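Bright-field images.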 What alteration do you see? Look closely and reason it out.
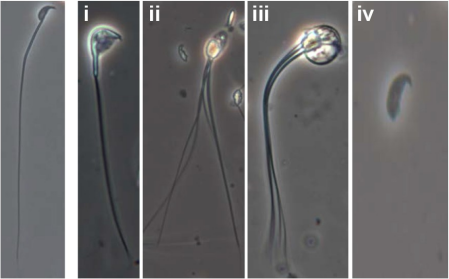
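Multiple flagella. Two of the sperm have more than one long tail leaving a single head region. The leftmost sperm has a single slender tail.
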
